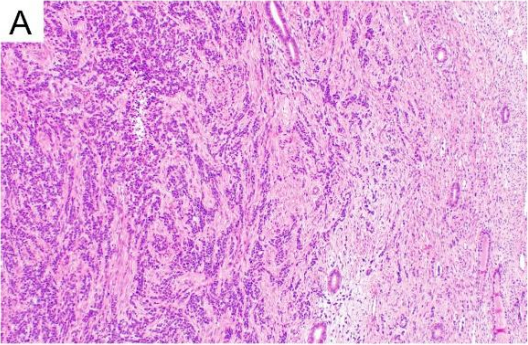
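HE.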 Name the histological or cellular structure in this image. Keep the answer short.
residual mucosa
